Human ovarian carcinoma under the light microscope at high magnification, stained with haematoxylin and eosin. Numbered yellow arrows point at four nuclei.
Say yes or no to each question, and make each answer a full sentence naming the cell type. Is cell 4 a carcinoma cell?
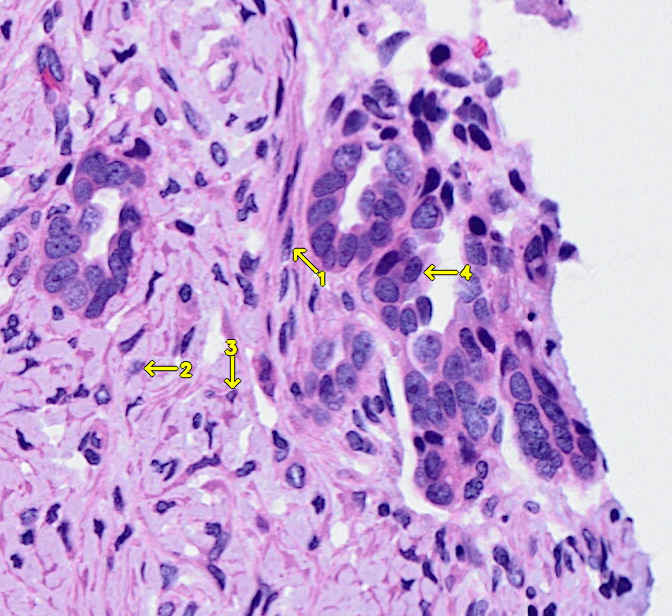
Yes, looking at number 4, that cell is a carcinoma cell.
